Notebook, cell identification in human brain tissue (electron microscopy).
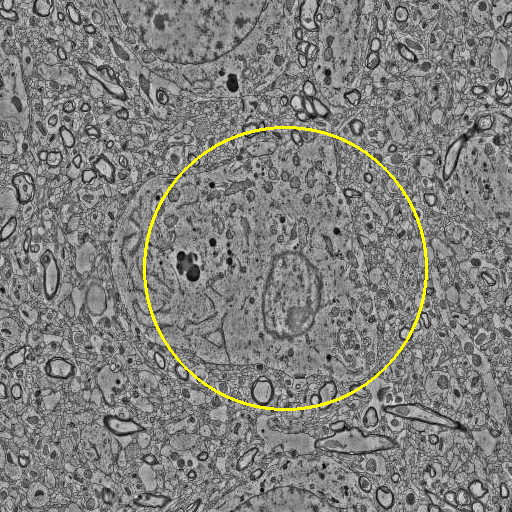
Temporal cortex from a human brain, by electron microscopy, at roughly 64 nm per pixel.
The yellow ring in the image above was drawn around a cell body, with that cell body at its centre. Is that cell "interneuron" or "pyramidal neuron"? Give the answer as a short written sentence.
The cell in the ring is a pyramidal neuron.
